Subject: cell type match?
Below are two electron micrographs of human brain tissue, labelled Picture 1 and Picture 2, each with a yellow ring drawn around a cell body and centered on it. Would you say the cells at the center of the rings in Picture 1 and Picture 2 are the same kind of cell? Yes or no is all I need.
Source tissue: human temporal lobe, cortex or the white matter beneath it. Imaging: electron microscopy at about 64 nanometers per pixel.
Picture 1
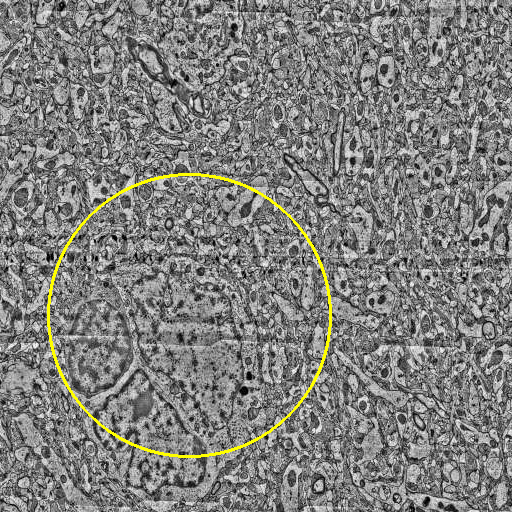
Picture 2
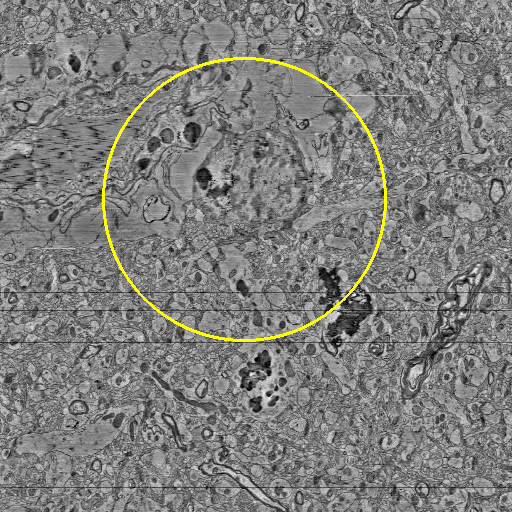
no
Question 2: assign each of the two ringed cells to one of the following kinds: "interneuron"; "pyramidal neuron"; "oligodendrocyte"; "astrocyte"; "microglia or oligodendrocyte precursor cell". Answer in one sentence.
The two cells are an interneuron in the first picture and an oligodendrocyte in the second.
